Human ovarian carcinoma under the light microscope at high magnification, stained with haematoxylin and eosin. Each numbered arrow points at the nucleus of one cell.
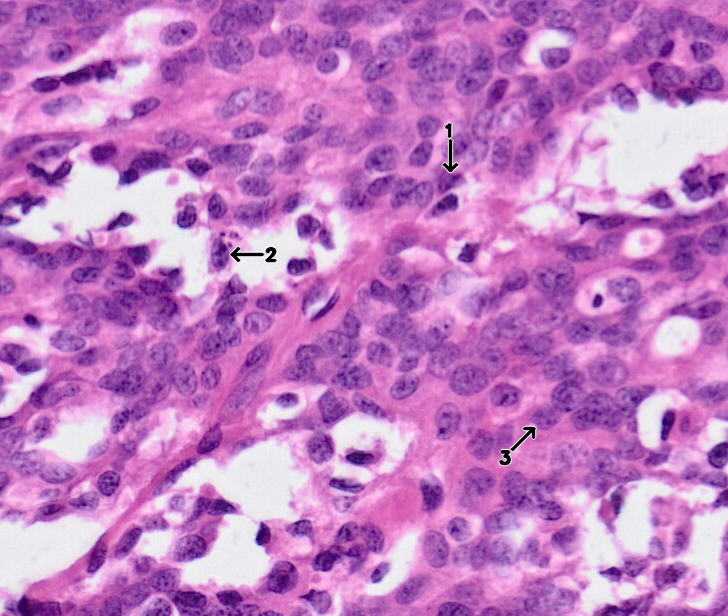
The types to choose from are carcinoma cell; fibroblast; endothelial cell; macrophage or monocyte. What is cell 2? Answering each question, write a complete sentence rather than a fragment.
The cell that goes by number 2 is a macrophage or monocyte.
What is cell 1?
Here the cell numbered 1 is a carcinoma cell.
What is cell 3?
The cell that carries the label 3 is a carcinoma cell.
